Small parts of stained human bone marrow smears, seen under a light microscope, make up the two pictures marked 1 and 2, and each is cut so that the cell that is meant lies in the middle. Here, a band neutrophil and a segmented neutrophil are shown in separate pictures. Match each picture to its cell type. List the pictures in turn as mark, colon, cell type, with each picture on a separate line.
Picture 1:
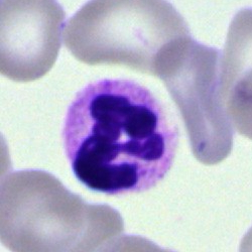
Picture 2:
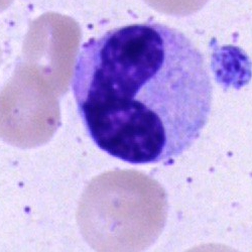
1: segmented neutrophil
2: band neutrophil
